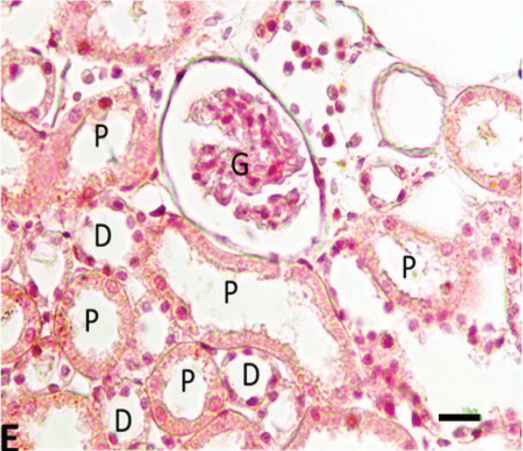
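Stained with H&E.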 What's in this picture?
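A glomerulus, a rounded tuft of capillary loops with many nuclei, lies within a thin capsule separated by a clear space. Around it are cross-sectioned tubules: larger ones lined by pink cuboidal cells with a fuzzy luminal border, and smaller ones with wider clear lumens and paler lining cells with closely spaced nuclei.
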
